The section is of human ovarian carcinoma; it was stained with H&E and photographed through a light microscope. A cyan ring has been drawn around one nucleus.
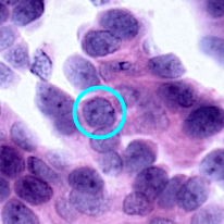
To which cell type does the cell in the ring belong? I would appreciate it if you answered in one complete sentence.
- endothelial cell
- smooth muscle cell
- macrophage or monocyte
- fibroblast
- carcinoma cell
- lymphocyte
In this tissue section, the cell in the ring is to be classed as a carcinoma cell.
